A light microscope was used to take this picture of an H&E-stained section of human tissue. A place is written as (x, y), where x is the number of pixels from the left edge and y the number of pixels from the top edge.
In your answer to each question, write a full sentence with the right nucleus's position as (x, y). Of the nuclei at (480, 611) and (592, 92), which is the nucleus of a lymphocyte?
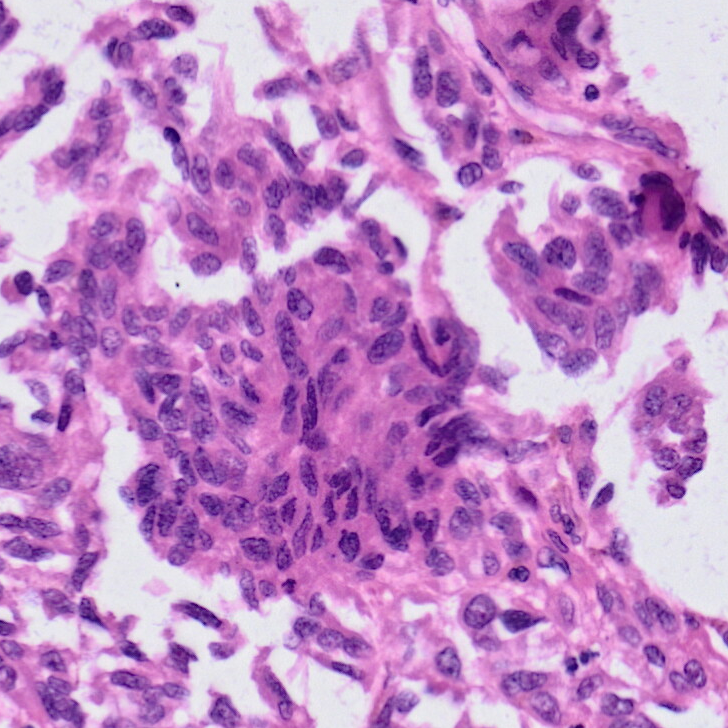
Which one belongs to a lymphocyte? The nucleus at (592, 92) does.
